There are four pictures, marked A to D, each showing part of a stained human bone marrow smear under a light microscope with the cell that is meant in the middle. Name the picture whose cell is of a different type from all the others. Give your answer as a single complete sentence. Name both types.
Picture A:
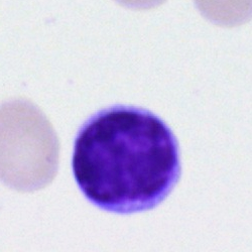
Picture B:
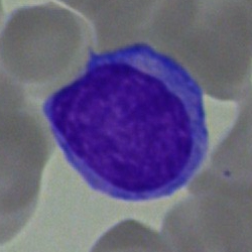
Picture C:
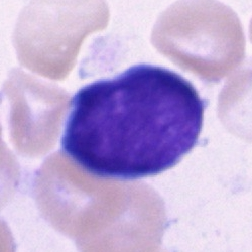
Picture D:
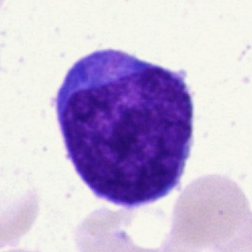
Picture A is the odd one out: it shows a lymphocyte, while the others show blasts.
